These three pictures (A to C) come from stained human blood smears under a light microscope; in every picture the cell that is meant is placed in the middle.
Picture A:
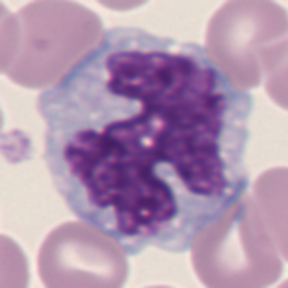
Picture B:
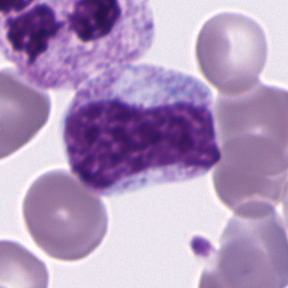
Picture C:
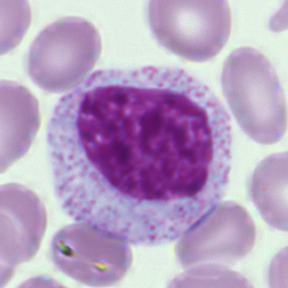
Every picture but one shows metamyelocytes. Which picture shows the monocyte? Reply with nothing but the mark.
A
